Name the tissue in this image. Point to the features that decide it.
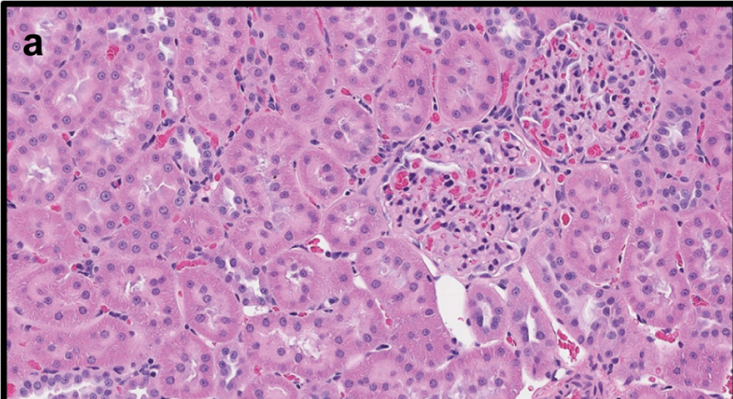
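Kidney cortex. Two round glomerular tufts lie among tubules. Closely packed tubules lined by pink cuboidal epithelium fill the field.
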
